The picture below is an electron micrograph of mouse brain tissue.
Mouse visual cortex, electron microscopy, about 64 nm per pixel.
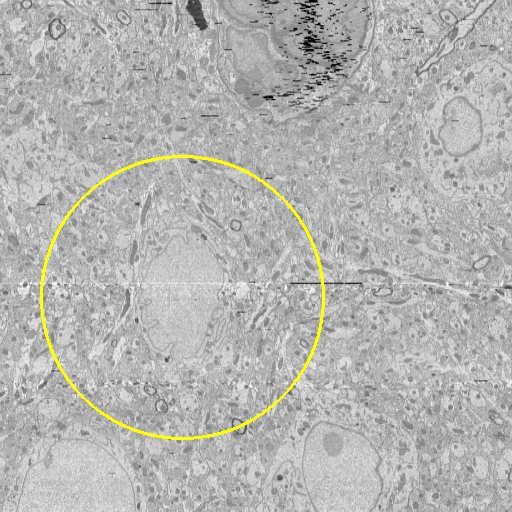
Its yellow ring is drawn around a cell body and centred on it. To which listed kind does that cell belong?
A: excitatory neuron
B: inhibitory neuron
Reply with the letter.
B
